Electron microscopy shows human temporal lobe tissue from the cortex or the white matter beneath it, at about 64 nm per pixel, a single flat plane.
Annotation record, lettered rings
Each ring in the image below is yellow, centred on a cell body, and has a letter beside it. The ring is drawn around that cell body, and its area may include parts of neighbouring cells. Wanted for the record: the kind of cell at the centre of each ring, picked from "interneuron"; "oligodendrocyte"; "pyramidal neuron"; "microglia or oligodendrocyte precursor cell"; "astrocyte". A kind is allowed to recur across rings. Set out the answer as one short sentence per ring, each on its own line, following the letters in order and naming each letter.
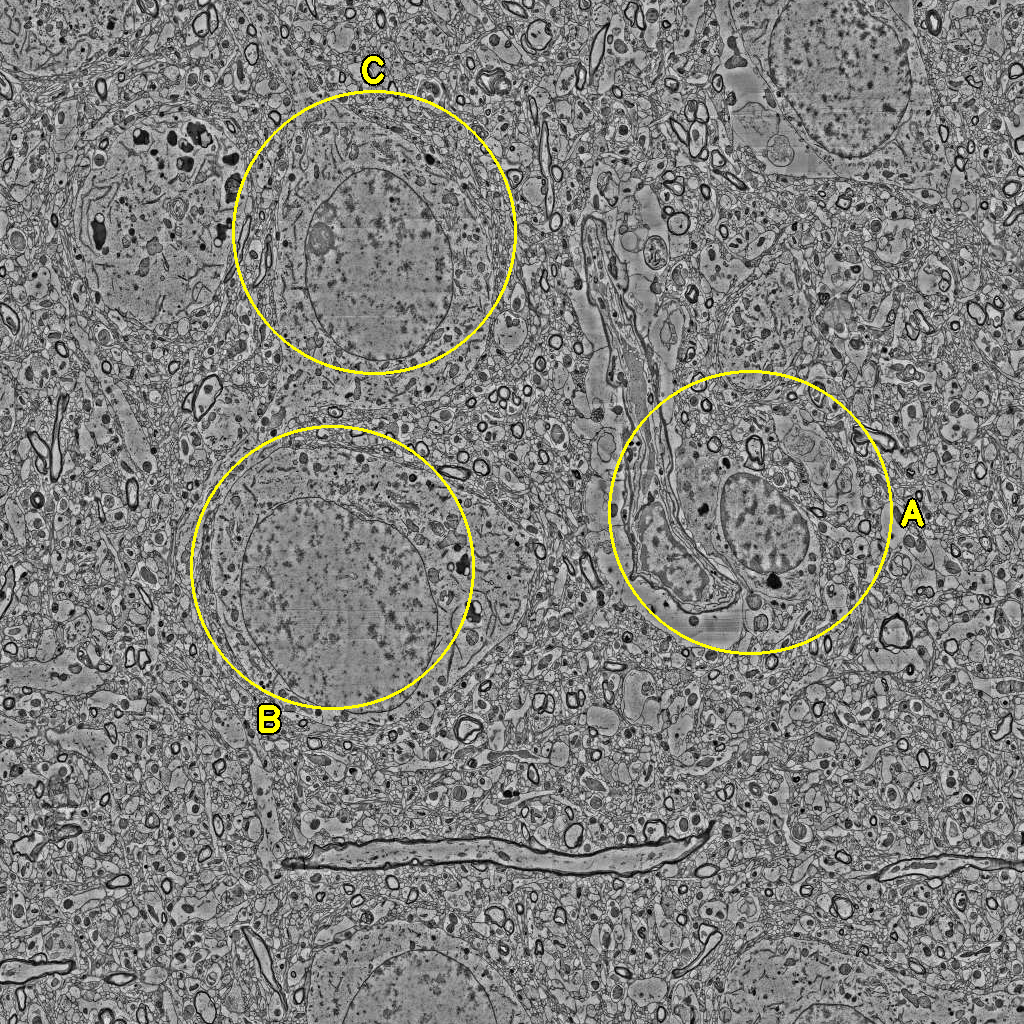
Ring A was drawn on an oligodendrocyte.
Ring B was drawn on a pyramidal neuron.
Ring C was drawn on a pyramidal neuron.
